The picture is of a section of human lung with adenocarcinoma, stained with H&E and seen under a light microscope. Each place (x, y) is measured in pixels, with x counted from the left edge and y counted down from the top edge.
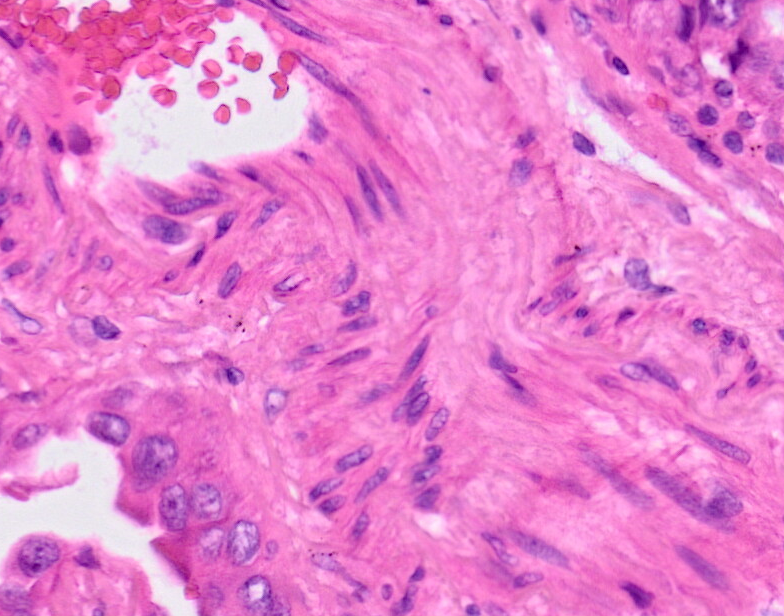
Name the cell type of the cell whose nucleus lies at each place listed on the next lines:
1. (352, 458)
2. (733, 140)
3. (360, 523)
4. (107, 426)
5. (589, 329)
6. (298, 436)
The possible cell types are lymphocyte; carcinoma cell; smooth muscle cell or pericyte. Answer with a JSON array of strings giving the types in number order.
["smooth muscle cell or pericyte", "lymphocyte", "smooth muscle cell or pericyte", "carcinoma cell", "smooth muscle cell or pericyte", "smooth muscle cell or pericyte"]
